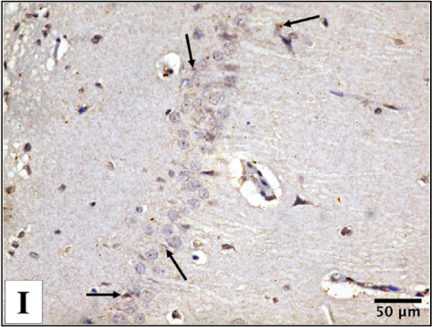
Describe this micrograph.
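This field shows the band of pyramidal cells of the hippocampus running down through a pale, finely fibrous background. The cells have large, rounded, pale nuclei with distinct nucleoli and a thin rim of cytoplasm that carries only faint brown granules. Small cells with dark nuclei are scattered in the surrounding tissue, and blood vessels with clear lumens appear in the field.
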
